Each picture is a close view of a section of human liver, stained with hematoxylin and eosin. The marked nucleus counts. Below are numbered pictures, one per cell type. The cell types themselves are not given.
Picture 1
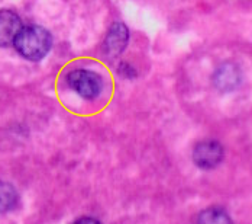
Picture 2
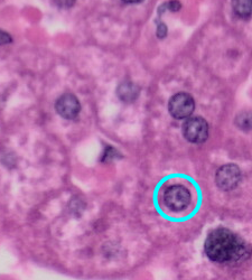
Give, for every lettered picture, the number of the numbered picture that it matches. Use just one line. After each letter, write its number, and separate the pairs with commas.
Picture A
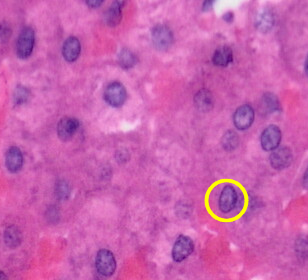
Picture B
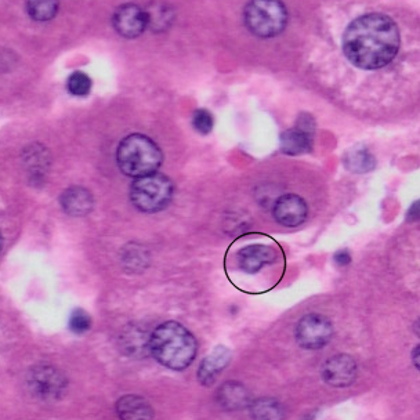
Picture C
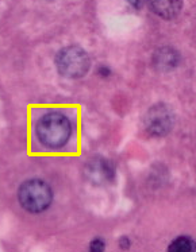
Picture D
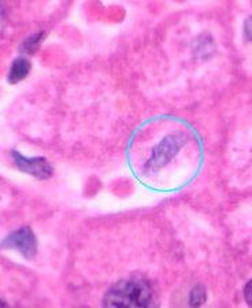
A 2, B 1, C 2, D 1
